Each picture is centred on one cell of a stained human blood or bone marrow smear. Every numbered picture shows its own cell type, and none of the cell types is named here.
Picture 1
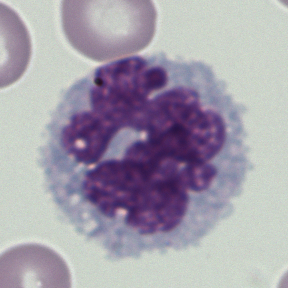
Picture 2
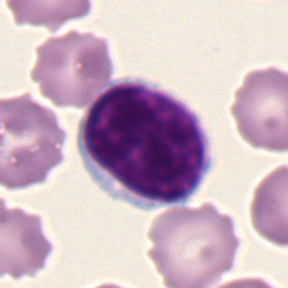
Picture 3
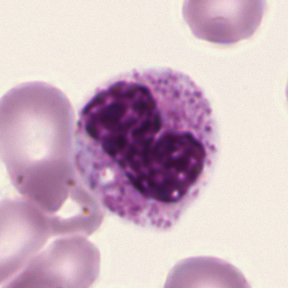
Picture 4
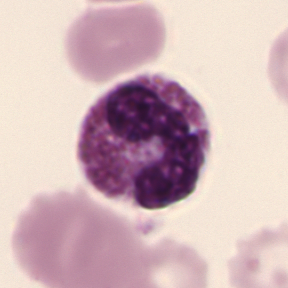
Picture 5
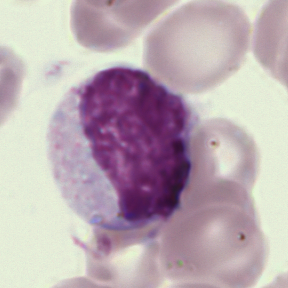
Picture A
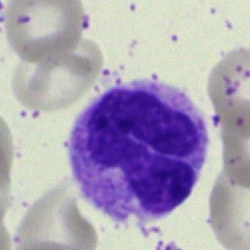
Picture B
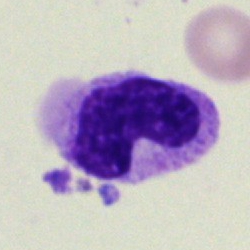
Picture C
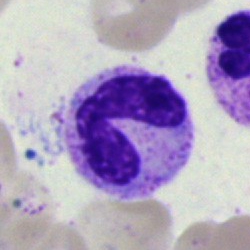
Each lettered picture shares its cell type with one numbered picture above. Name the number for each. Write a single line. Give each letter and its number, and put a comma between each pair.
A 5, B 3, C 3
